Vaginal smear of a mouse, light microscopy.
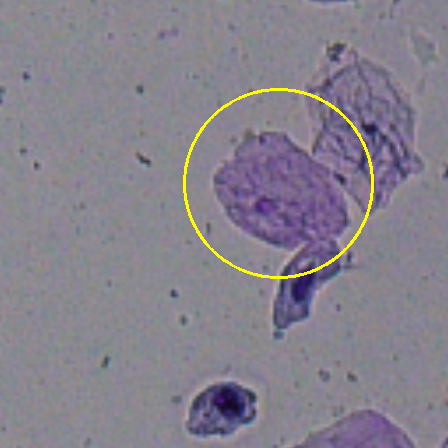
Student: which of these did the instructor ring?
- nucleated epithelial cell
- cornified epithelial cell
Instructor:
The cell I ringed is a cornified epithelial cell.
